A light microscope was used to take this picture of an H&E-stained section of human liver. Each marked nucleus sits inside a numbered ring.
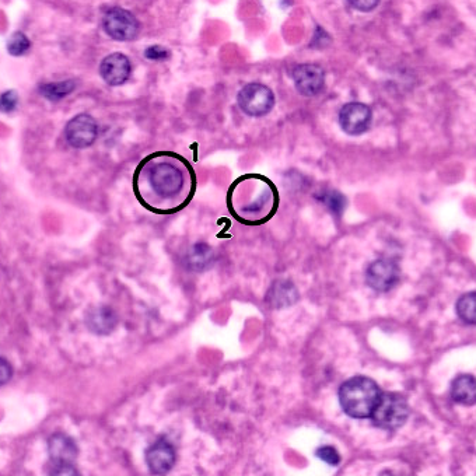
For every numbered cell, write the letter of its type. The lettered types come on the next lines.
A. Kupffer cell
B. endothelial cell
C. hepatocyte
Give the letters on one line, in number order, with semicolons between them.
C; B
